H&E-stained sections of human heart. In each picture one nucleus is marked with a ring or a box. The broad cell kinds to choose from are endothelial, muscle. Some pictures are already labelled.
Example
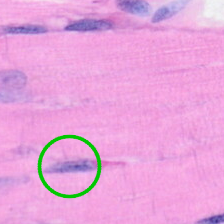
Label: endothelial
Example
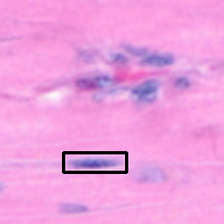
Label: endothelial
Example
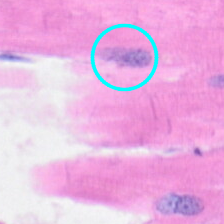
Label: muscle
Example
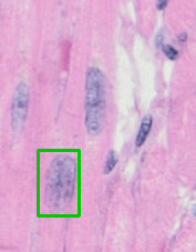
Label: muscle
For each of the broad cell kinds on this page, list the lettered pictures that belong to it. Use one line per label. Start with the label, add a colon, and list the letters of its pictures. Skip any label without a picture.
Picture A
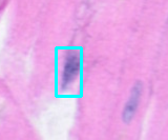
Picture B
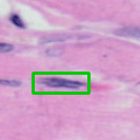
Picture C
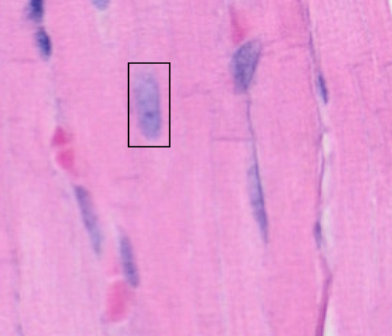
endothelial: A, B
muscle: C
